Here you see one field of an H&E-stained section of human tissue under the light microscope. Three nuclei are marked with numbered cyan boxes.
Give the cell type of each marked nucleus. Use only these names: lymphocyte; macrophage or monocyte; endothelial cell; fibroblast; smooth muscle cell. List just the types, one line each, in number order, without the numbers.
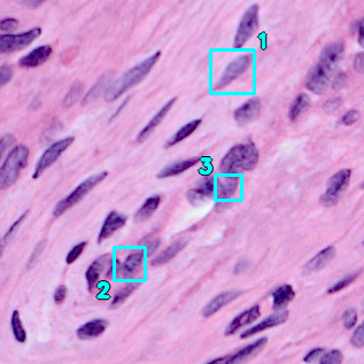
smooth muscle cell
endothelial cell
endothelial cell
